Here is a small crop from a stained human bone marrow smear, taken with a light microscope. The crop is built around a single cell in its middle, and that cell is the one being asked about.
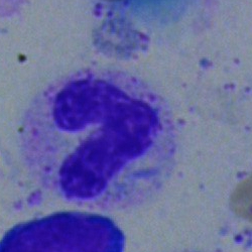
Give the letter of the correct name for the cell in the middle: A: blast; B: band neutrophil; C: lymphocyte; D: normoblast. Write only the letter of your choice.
B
